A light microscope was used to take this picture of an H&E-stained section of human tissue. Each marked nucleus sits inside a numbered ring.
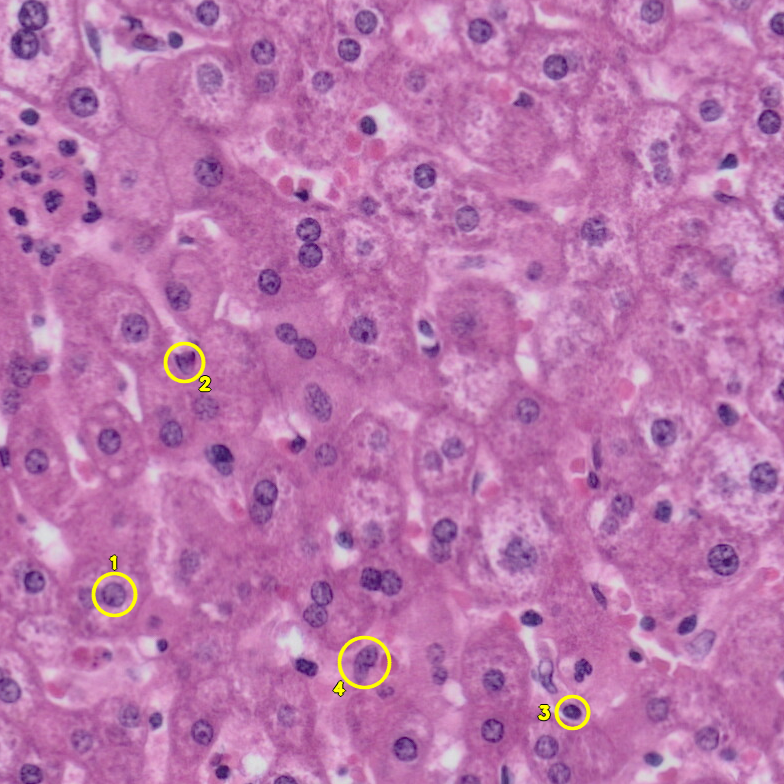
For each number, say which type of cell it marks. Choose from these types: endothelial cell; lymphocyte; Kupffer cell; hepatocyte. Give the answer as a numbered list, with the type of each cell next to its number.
1. hepatocyte
2. endothelial cell
3. lymphocyte
4. Kupffer cell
